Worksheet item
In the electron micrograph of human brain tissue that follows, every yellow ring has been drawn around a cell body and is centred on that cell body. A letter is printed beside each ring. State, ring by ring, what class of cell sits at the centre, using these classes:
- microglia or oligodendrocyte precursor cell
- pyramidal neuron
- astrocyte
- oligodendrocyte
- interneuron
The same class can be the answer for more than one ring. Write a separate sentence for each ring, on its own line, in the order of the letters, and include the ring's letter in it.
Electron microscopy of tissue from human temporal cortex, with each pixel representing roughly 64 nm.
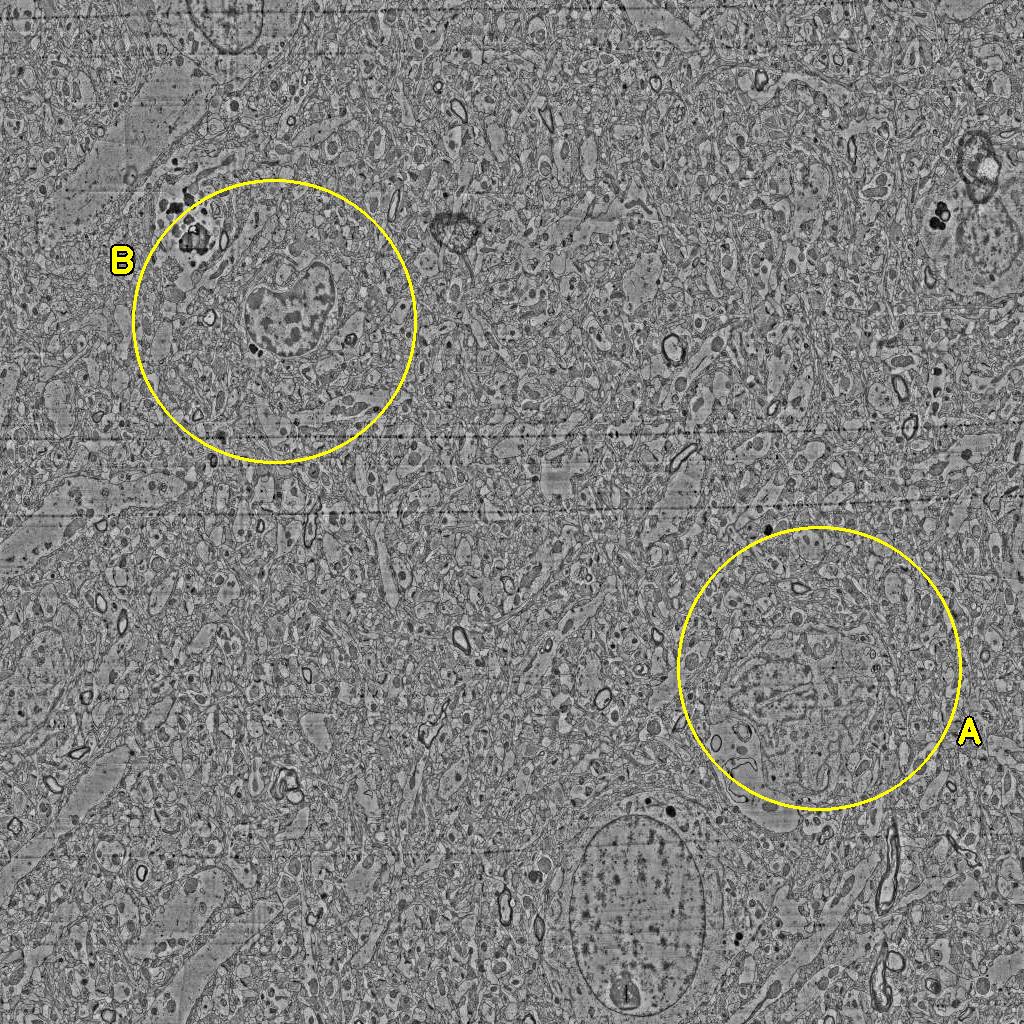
At the centre of ring A sits an interneuron.
At the centre of ring B sits a microglial cell or oligodendrocyte precursor cell.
